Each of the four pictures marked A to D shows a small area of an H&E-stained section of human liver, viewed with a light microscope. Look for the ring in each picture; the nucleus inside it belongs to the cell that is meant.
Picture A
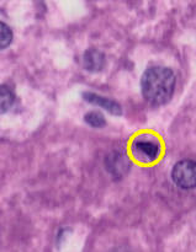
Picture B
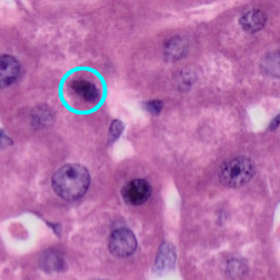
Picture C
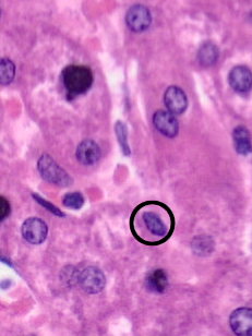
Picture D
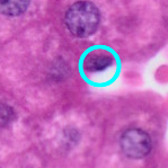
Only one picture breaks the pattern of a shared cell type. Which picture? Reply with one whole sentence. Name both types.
All pictures except D show “fibroblasts or stellate cells”; picture D shows an endothelial cell.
